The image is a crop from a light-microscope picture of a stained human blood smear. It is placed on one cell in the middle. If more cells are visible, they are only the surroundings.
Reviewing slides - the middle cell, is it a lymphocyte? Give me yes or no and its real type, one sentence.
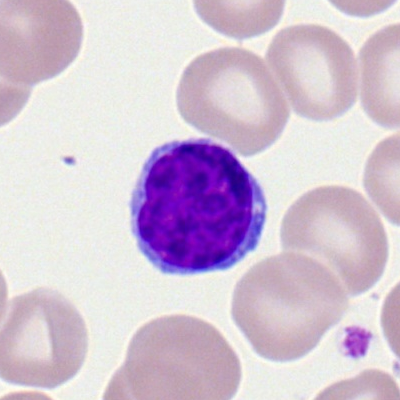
Yes, the cell sitting in the middle of this smear crop is a lymphocyte.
